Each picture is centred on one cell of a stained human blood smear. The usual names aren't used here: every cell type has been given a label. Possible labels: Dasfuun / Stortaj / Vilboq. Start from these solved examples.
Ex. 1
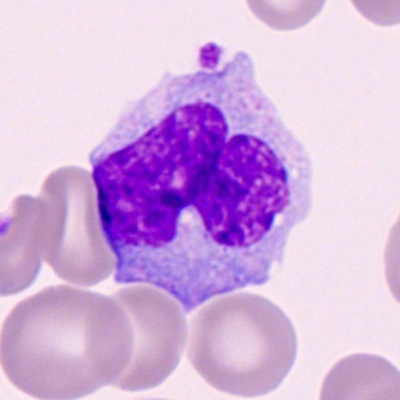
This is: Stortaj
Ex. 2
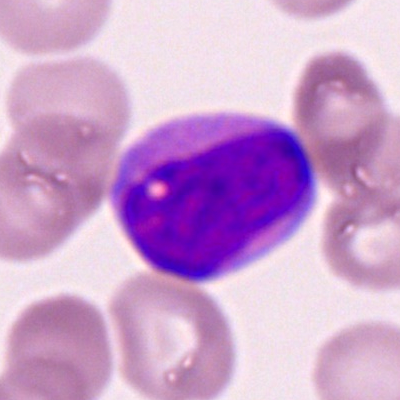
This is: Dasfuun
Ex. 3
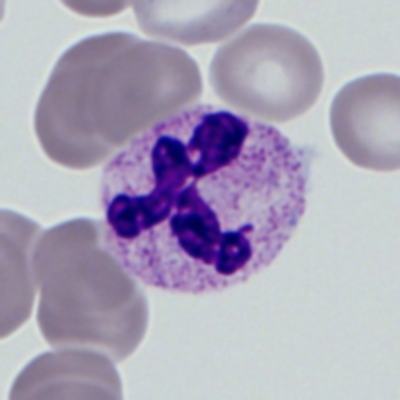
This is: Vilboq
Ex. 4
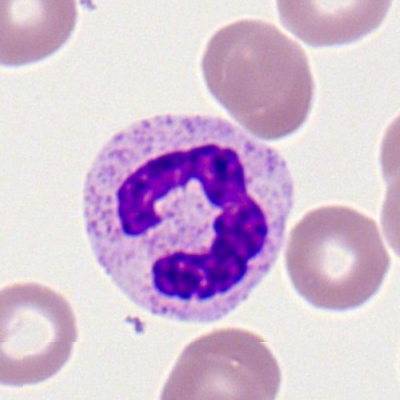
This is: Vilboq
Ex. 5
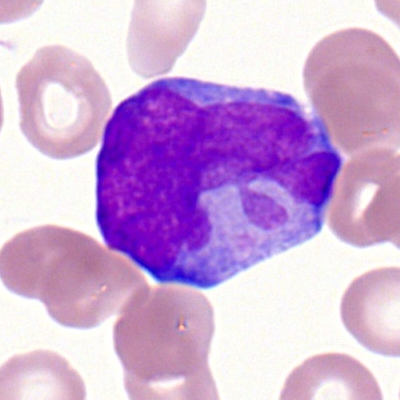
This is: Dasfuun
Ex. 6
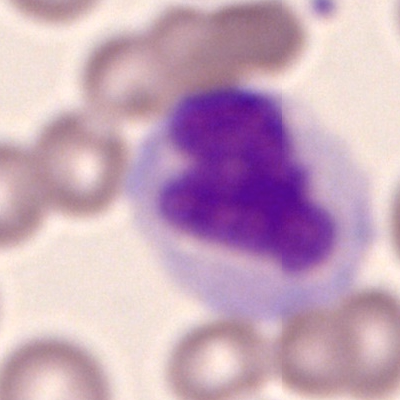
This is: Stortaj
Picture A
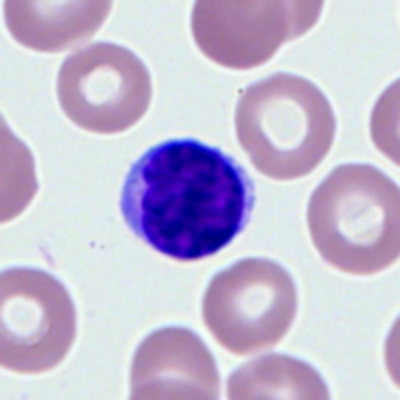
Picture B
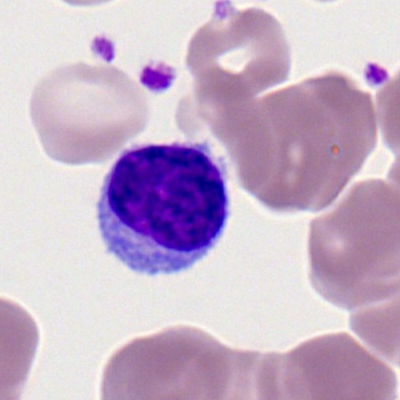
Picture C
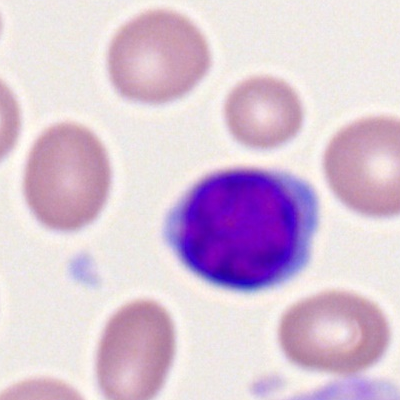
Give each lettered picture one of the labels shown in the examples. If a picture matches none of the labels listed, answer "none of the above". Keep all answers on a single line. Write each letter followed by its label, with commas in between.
A none of the above, B none of the above, C none of the above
